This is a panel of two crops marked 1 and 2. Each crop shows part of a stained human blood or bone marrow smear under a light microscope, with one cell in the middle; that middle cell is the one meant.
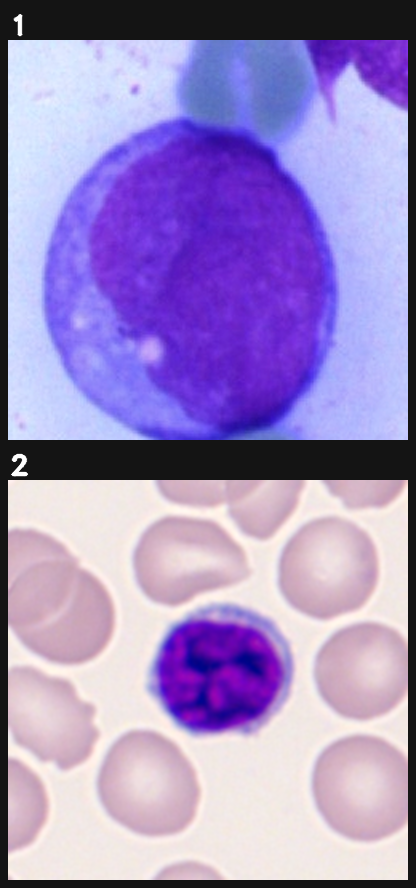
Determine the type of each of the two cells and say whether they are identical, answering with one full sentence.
No, it is crop 1 that shows a blast, and crop 2 shows a lymphocyte.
